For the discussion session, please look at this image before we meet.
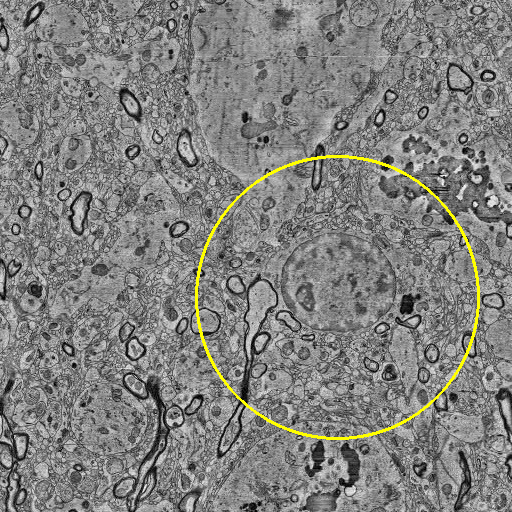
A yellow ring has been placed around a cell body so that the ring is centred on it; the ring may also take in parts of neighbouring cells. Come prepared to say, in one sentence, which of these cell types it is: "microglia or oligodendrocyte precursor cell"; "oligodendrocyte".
The cell centred in the ring is an oligodendrocyte.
